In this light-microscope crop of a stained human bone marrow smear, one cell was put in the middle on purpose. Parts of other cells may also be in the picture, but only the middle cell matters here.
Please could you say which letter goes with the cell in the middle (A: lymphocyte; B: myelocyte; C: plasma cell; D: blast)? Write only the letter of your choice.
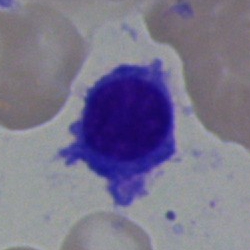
C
